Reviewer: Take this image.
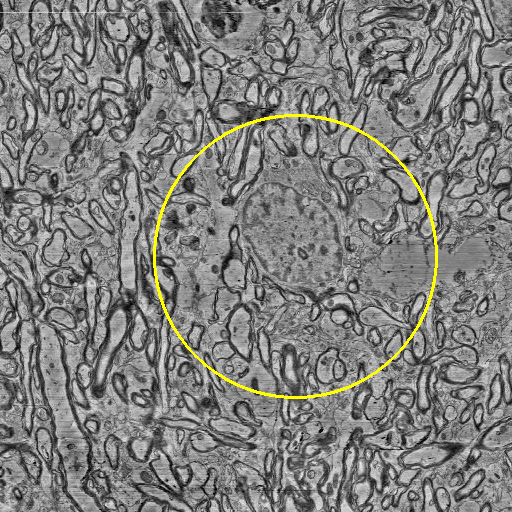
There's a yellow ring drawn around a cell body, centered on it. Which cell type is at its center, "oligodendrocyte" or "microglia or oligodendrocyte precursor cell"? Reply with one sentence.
At the center of the yellow ring is an oligodendrocyte.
